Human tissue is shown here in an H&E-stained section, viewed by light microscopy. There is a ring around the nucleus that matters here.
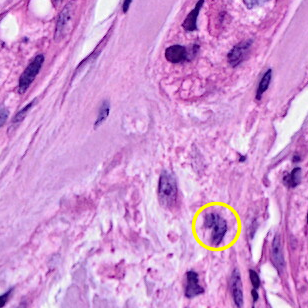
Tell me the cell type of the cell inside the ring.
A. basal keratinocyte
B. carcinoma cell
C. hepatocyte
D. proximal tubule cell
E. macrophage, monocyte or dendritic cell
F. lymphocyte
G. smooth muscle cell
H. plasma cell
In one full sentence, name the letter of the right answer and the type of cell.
Right answer, option E: the cell inside the ring is a macrophage, monocyte or dendritic cell.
